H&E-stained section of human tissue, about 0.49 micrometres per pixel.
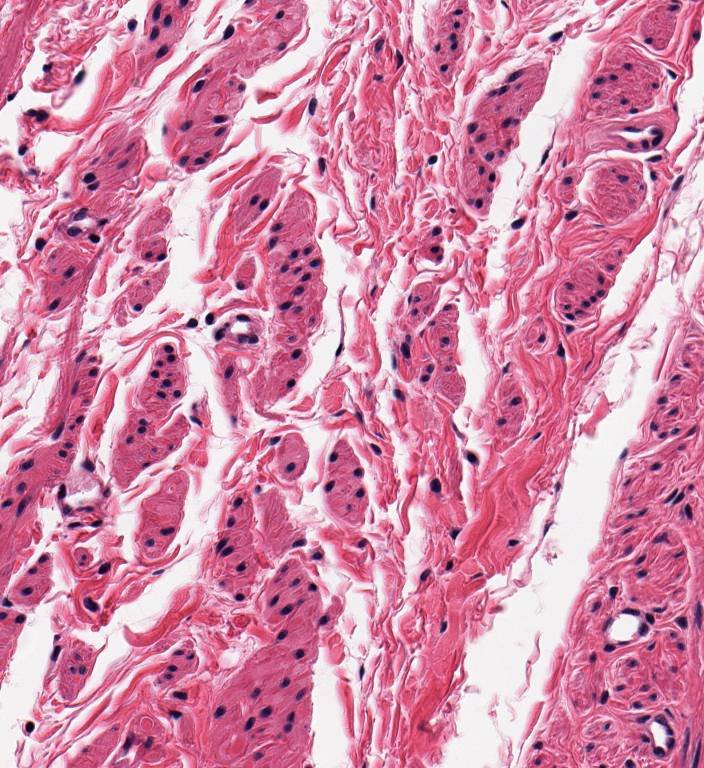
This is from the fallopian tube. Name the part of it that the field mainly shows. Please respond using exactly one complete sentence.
In this image of a tissue section, the part is named smooth muscle.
